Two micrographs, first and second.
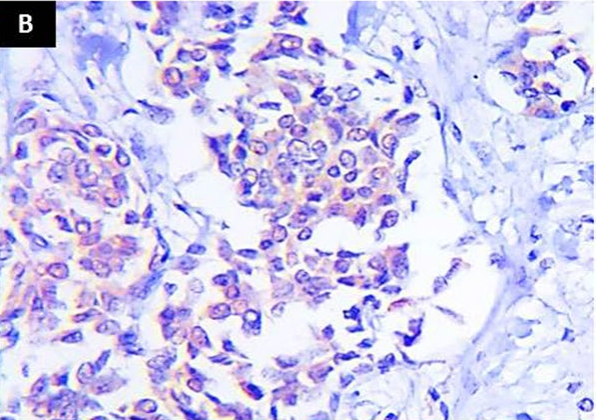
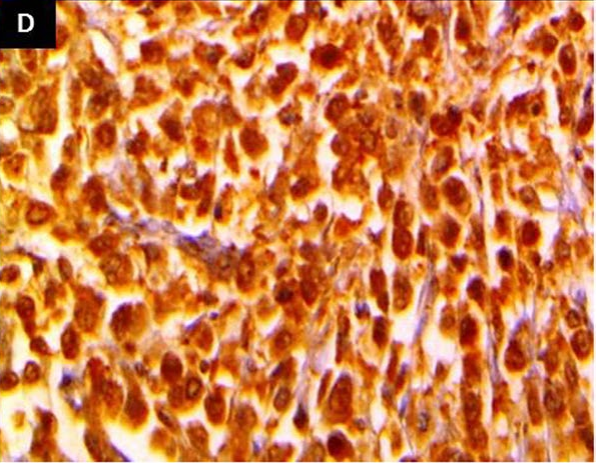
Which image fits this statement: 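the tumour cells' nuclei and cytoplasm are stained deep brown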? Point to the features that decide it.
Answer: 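The second image. Second image: a dense sheet of cells whose nuclei and cytoplasm are intensely brown. First image: the cells are only faintly brownish, with blue counterstained nuclei dominating.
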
